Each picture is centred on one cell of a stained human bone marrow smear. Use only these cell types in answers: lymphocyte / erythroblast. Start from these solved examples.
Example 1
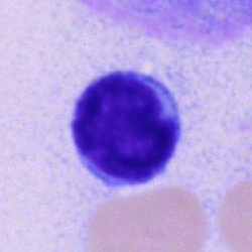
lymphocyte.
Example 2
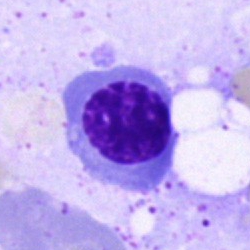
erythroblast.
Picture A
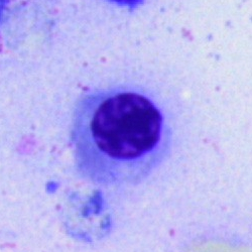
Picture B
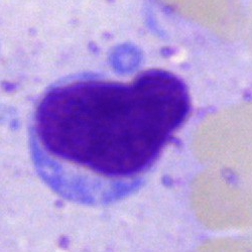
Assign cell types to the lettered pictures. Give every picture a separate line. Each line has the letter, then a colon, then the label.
A: erythroblast.
B: lymphocyte.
